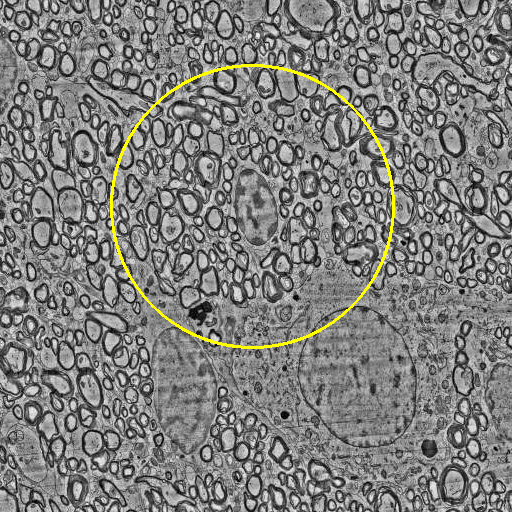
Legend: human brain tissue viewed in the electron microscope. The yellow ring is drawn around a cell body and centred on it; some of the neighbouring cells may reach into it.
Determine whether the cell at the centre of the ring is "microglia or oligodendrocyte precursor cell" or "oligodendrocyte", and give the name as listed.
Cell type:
microglia or oligodendrocyte precursor cell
